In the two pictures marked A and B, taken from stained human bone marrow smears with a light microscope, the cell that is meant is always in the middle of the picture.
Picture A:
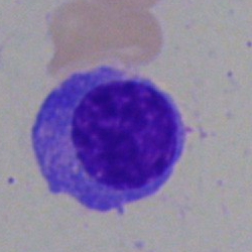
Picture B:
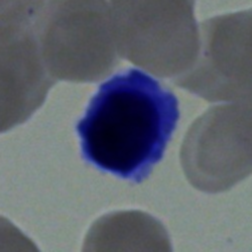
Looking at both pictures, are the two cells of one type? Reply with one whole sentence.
No; the cell in picture A is a plasma cell, while the one in picture B is an erythroblast.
